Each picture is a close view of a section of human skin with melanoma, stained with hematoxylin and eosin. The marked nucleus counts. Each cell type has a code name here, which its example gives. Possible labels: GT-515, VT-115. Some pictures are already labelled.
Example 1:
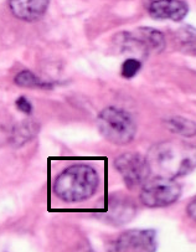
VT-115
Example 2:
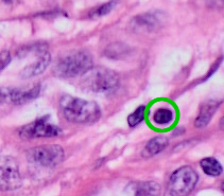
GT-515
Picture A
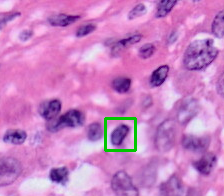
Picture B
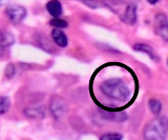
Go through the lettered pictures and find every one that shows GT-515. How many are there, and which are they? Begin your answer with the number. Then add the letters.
Count: 1 (A)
